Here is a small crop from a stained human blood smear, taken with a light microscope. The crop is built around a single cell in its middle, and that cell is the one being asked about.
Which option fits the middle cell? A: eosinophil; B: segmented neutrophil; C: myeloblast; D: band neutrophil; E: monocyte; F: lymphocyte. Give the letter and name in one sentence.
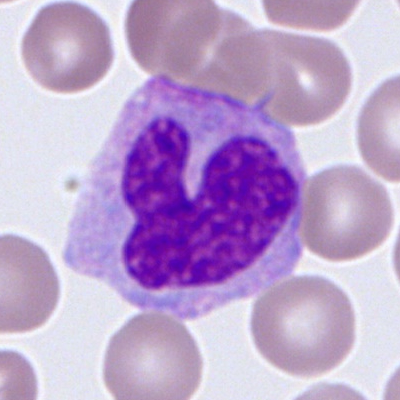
Option E holds, for the cell in the middle is a monocyte.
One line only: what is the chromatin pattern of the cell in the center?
The chromatin here is fine and lacks any coarse clumps.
